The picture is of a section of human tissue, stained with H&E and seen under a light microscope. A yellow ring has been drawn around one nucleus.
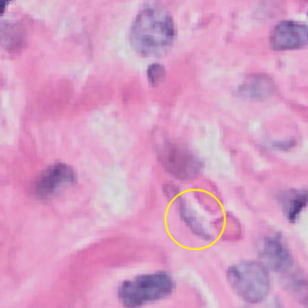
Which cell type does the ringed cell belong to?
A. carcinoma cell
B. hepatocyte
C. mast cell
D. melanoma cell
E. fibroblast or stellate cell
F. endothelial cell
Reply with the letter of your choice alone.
F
